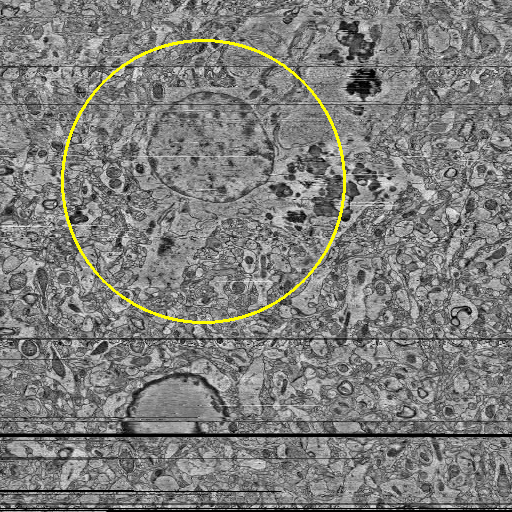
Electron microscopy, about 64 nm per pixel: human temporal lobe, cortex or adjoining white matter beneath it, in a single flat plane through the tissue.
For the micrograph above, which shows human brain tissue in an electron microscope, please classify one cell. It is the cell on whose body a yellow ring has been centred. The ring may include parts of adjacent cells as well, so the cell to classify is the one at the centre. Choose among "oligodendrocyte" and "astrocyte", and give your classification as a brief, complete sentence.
I classify this cell as an astrocyte.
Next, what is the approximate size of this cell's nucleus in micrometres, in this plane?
The nucleus comes to roughly 8 micrometres across in this plane.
